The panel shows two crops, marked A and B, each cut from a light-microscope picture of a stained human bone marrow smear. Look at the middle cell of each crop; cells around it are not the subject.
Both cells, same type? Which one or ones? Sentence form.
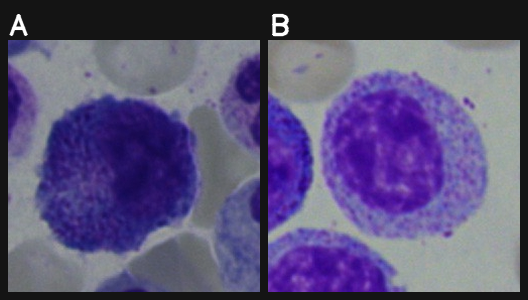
No, the cells are a promyelocyte in crop A and a myelocyte in crop B.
